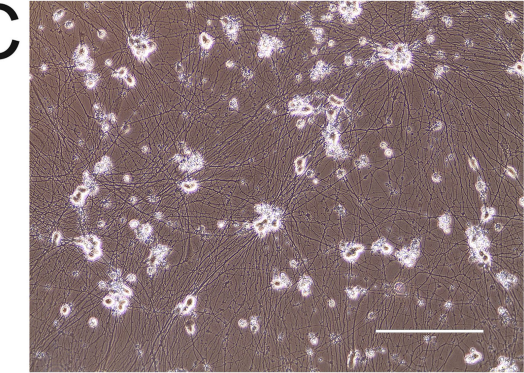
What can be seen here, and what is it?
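Neural culture under phase contrast, with cell bodies gathered into scattered, bright, rounded clusters. A dense meshwork of very fine processes fills the spaces between the clusters and covers nearly the whole field. Many processes radiate out from the clusters, and a few cell bodies lie singly between them.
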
